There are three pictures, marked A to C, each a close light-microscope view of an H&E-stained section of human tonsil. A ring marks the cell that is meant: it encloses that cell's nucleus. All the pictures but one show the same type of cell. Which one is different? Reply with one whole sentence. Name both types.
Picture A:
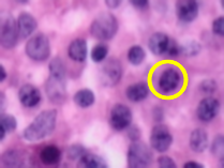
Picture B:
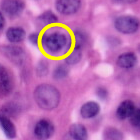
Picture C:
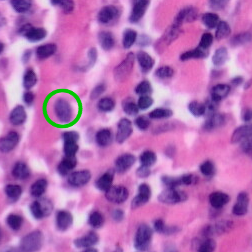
The others show plasma cells, but picture C shows a mast cell.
